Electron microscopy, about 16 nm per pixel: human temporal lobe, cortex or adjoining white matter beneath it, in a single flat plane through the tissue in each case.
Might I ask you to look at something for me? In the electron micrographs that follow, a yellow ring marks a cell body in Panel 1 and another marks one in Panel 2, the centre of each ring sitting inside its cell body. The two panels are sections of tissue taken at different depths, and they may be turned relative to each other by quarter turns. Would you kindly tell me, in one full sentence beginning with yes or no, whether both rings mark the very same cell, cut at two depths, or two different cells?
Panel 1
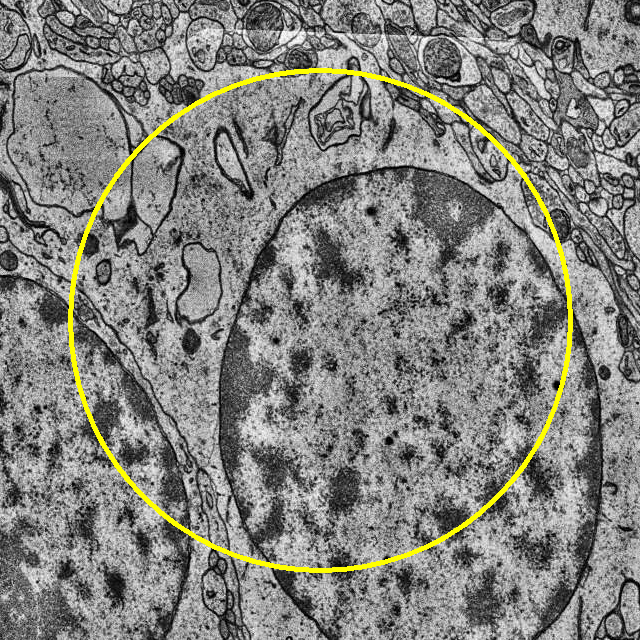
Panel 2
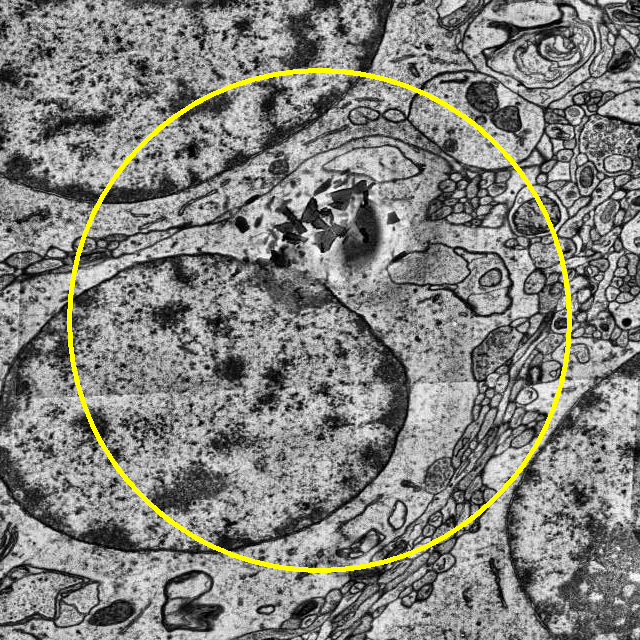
Yes, both yellow rings were placed on the same cell.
